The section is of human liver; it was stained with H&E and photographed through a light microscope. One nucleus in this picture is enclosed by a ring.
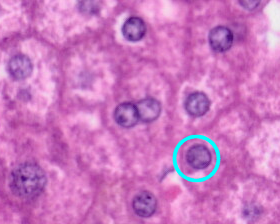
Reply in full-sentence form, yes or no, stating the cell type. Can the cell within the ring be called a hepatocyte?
Yes, to put it simply, the cell within the ring is a hepatocyte.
